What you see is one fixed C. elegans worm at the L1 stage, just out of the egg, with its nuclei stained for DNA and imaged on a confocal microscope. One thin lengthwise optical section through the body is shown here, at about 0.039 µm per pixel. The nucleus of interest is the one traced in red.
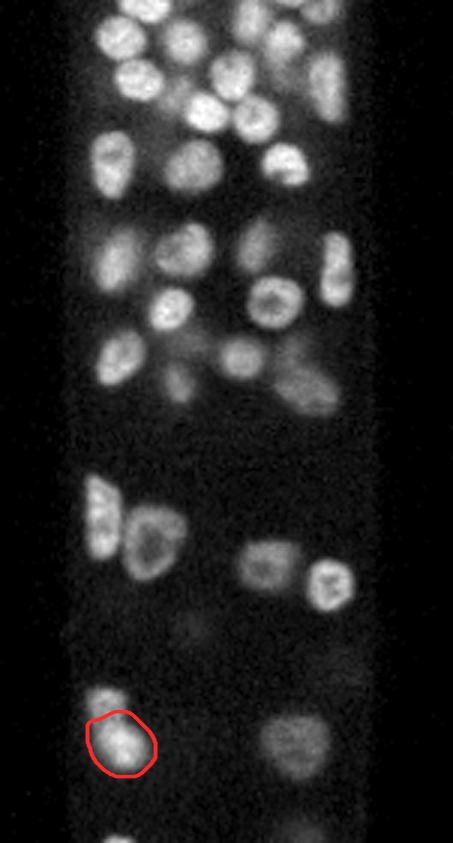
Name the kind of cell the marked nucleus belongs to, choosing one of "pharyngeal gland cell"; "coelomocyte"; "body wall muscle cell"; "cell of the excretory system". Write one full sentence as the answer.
It is the nucleus of a coelomocyte.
